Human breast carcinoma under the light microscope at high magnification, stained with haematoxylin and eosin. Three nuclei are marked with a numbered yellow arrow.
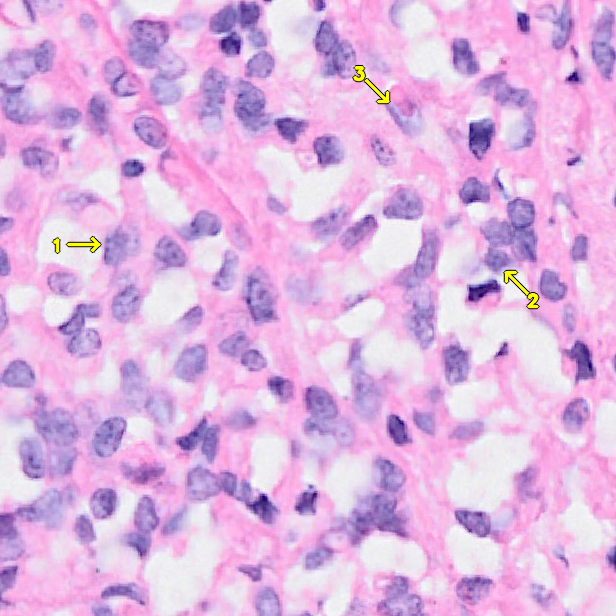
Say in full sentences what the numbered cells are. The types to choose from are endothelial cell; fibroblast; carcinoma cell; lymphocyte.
Cells 1 and 2 are carcinoma cells. Cell 3 is an endothelial cell.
